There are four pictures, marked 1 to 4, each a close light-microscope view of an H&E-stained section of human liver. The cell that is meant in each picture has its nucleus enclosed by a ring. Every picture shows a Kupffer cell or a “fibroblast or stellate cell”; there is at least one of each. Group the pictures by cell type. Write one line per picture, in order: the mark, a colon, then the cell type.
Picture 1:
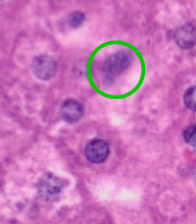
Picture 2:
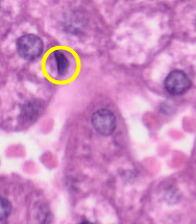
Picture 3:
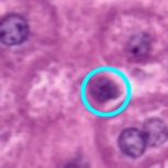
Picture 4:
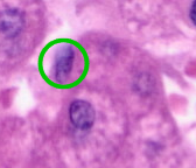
1: Kupffer cell
2: fibroblast or stellate cell
3: Kupffer cell
4: Kupffer cell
